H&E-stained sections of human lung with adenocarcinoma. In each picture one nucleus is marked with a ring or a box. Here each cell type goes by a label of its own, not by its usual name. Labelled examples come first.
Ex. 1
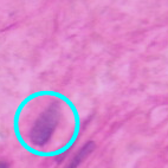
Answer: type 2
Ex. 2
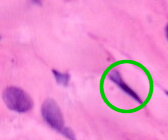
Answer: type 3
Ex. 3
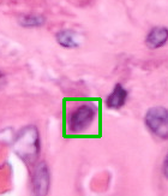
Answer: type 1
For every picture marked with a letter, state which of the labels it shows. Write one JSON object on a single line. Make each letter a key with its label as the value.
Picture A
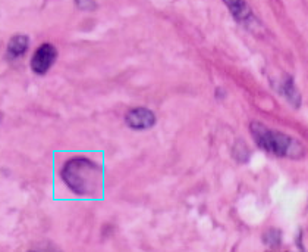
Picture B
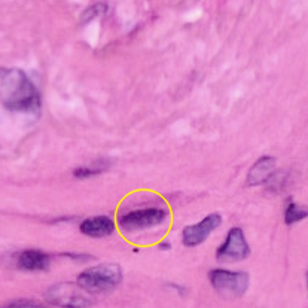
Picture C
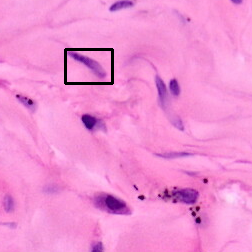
{"A": "type 3", "B": "type 1", "C": "type 3"}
